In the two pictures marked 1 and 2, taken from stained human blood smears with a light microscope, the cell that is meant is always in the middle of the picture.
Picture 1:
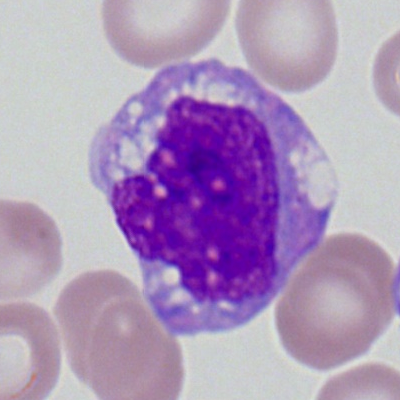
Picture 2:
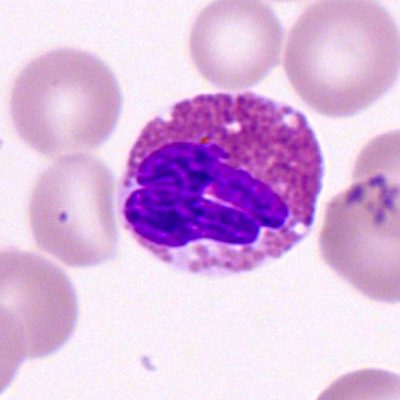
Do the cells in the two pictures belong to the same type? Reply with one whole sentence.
No. Picture 1 shows a monocyte, but picture 2 shows an eosinophil.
